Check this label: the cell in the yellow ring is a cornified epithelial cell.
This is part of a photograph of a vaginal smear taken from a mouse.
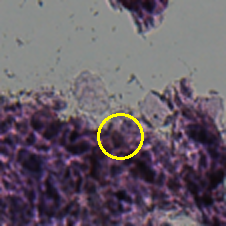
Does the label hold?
The label does not hold; the cell is a nucleated epithelial cell.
